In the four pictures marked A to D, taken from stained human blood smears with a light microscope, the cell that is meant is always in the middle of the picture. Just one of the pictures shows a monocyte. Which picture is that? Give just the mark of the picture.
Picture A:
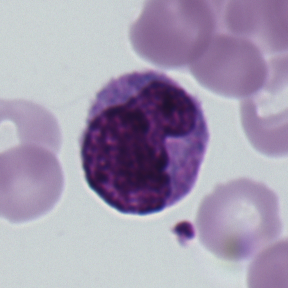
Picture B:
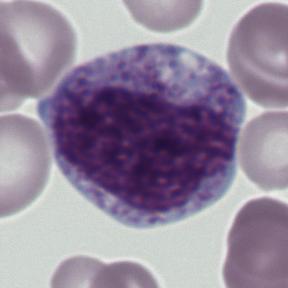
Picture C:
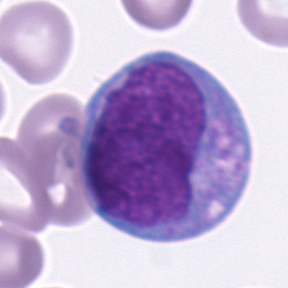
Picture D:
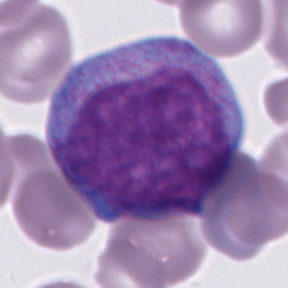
A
